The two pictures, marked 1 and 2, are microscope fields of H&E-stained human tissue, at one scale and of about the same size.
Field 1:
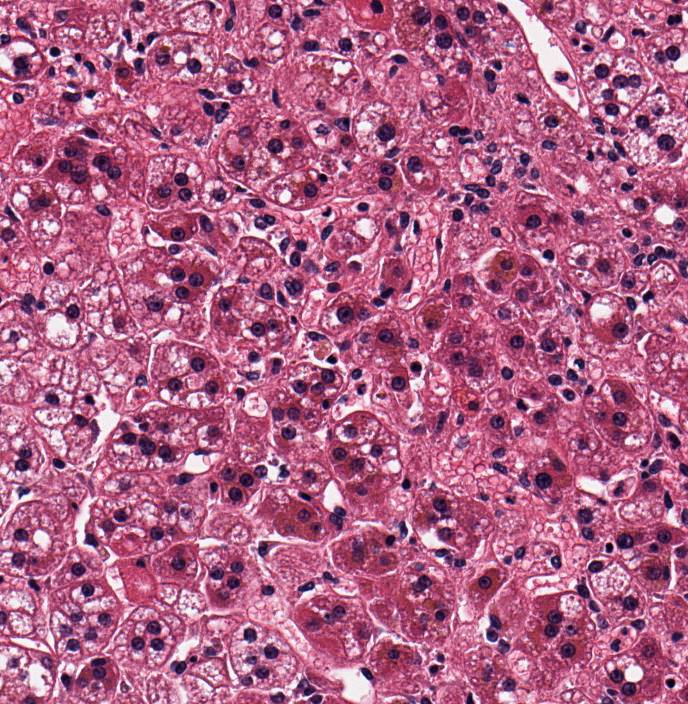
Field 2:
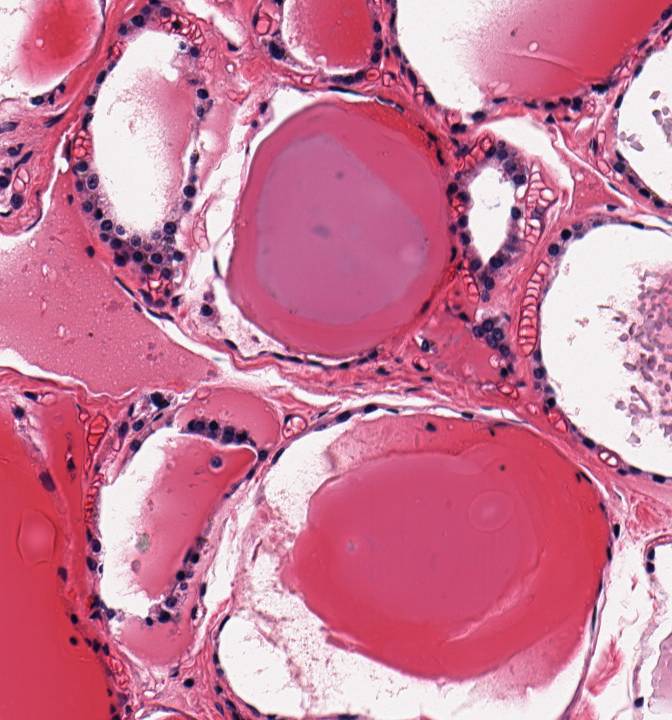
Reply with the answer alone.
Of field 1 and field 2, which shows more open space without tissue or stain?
2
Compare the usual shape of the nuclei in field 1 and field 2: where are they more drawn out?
2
